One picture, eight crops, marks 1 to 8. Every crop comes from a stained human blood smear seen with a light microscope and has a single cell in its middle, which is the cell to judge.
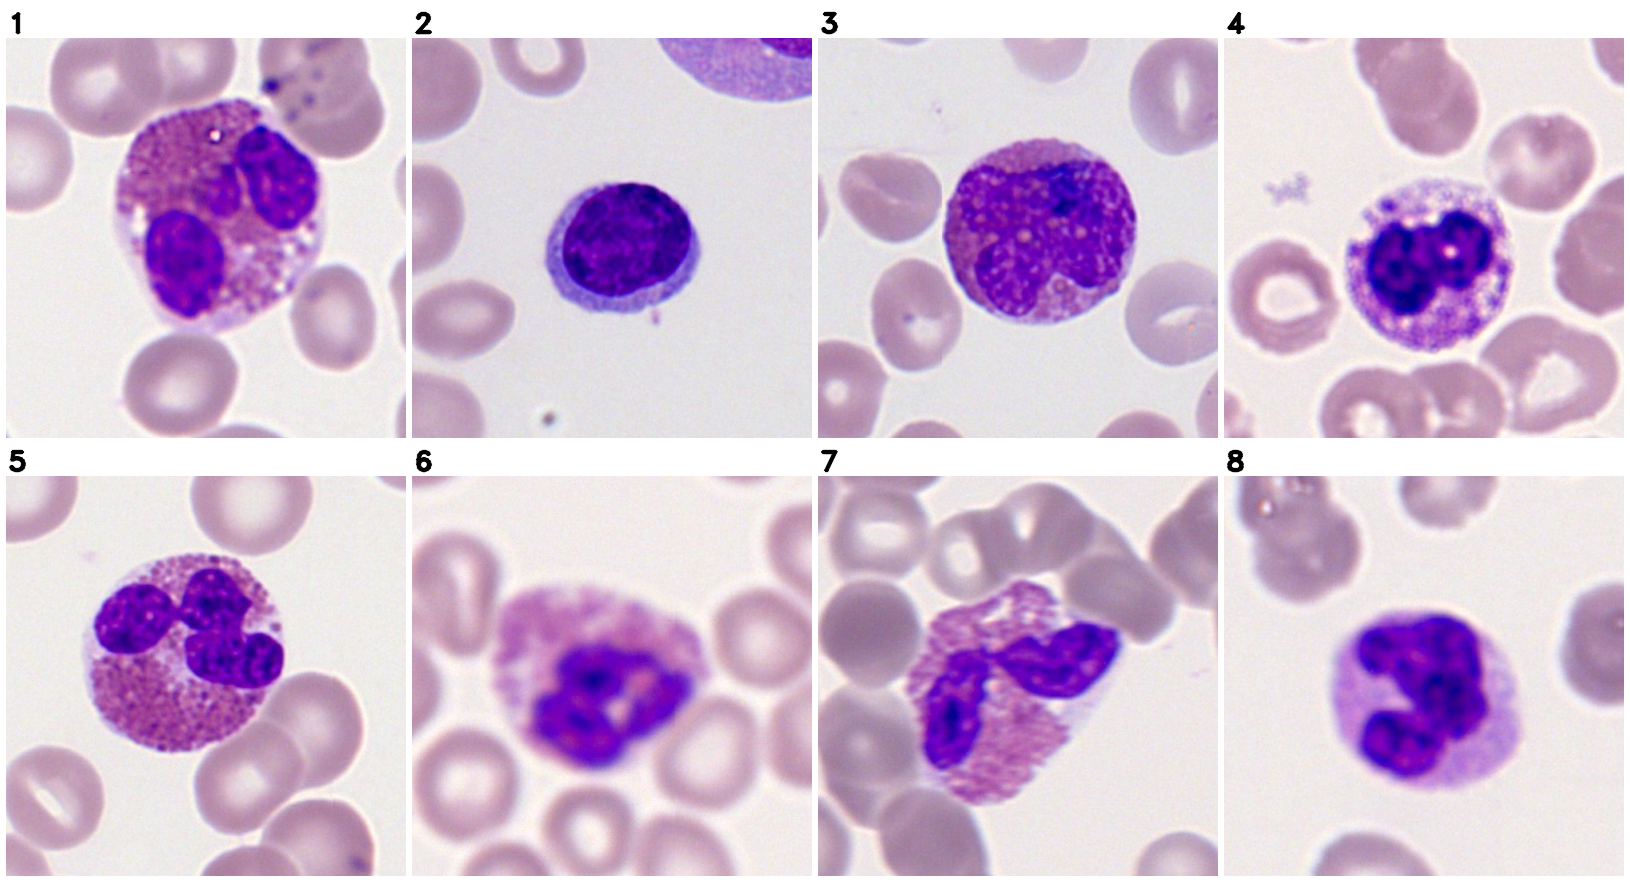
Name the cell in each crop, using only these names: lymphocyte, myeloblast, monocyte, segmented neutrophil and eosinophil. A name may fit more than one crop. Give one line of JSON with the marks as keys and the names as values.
{"1": "eosinophil", "2": "lymphocyte", "3": "eosinophil", "4": "segmented neutrophil", "5": "eosinophil", "6": "eosinophil", "7": "eosinophil", "8": "segmented neutrophil"}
